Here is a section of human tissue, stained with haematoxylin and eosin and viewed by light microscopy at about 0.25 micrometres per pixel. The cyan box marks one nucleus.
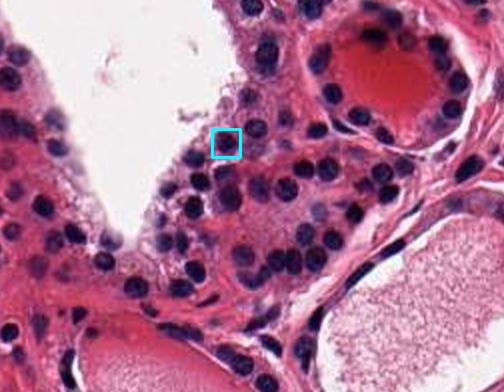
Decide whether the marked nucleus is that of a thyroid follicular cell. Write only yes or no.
yes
